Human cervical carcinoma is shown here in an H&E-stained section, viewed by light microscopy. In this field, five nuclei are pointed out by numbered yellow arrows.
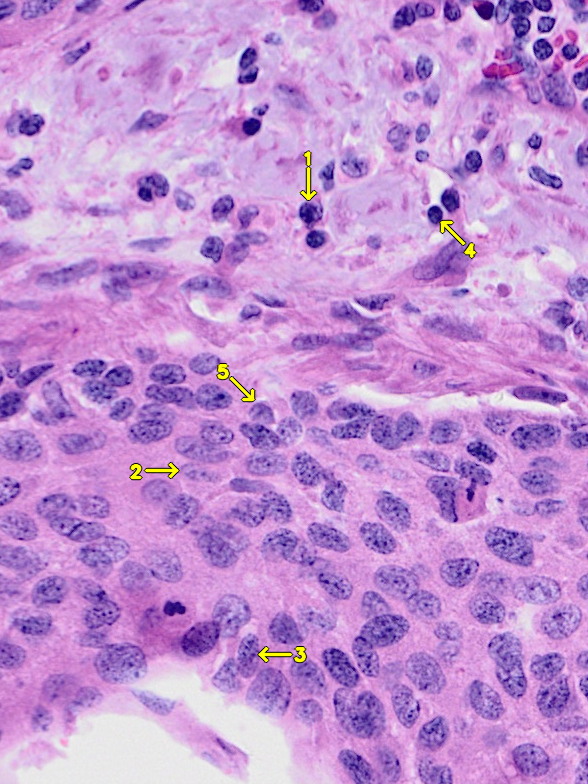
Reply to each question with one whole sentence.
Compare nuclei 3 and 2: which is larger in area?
Of the two, number 3 is bigger and takes up about 2.5 times the area of number 2.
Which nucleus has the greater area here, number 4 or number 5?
At about 1.5 times the area of nucleus 4, nucleus 5 is the larger of the two.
